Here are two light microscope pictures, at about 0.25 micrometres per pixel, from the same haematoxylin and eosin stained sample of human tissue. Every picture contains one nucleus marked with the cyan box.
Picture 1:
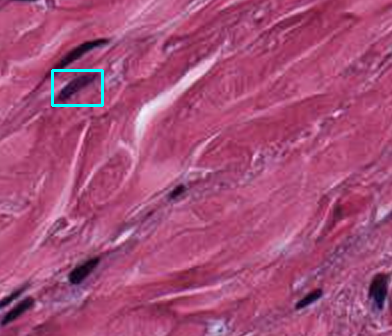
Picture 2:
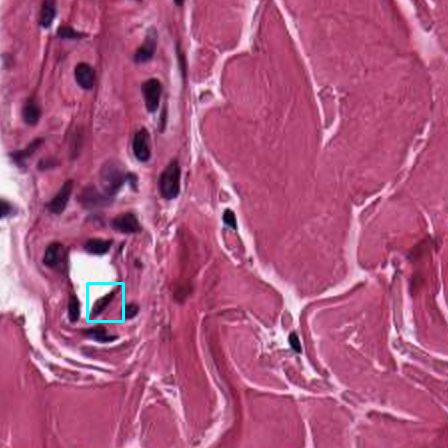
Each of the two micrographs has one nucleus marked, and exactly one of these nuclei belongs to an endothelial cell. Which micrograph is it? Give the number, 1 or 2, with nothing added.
2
